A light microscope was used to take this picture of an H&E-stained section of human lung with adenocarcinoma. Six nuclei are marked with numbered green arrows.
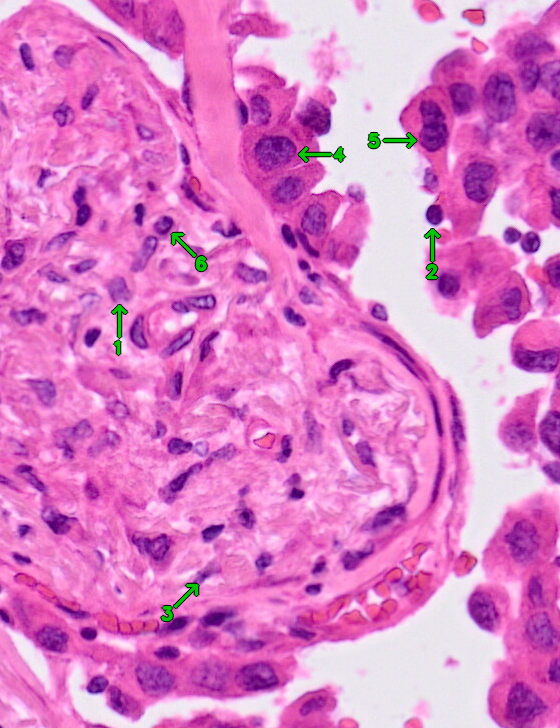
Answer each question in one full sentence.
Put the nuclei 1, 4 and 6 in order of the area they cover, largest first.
From largest to smallest, the order is 4, 1, 6.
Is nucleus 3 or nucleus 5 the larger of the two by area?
Nucleus 5 is larger, with an area about 2 times that of nucleus 3.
